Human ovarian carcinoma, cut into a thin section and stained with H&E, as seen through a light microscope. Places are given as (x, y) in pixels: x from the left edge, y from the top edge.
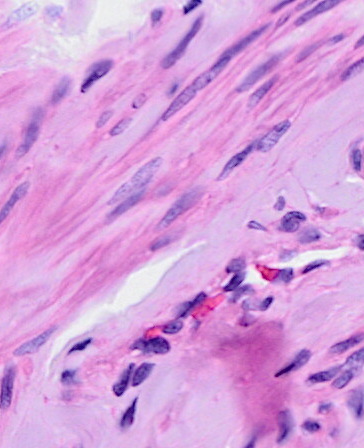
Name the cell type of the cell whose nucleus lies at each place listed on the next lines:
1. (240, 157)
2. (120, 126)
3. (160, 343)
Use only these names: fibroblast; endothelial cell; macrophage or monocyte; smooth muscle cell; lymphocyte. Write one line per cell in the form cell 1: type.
cell 1: smooth muscle cell
cell 2: smooth muscle cell
cell 3: endothelial cell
